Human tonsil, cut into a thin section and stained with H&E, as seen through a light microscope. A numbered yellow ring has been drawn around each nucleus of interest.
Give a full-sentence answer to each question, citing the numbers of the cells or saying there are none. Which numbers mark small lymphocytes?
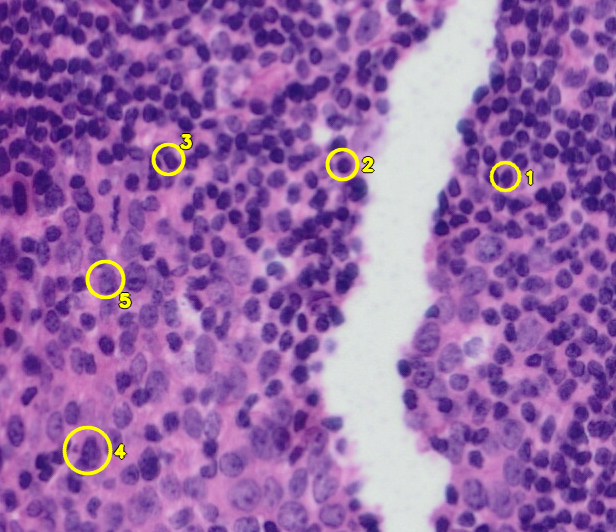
In short, the numbered cells 1, 2 and 3 are small lymphocytes.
